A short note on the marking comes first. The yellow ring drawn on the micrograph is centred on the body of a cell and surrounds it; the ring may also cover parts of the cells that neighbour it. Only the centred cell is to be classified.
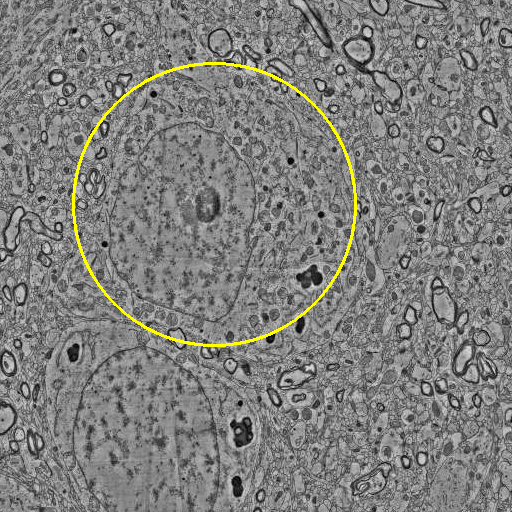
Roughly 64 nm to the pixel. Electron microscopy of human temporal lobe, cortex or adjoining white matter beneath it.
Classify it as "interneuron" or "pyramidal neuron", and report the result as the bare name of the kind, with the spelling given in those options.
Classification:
interneuron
